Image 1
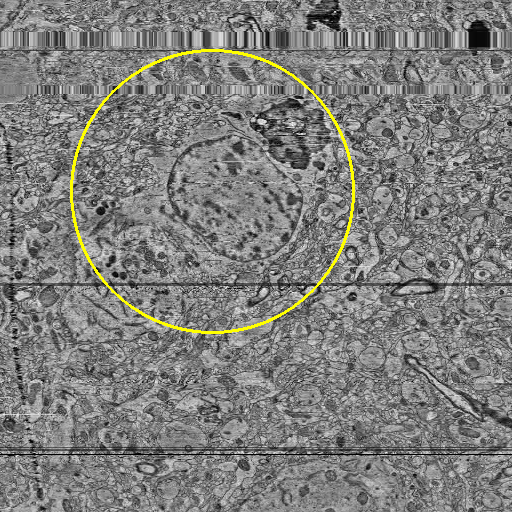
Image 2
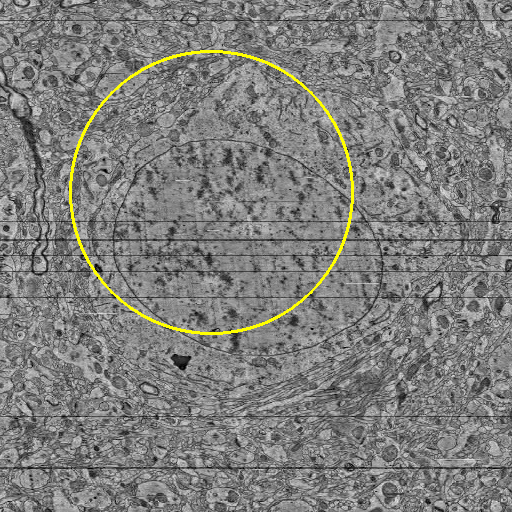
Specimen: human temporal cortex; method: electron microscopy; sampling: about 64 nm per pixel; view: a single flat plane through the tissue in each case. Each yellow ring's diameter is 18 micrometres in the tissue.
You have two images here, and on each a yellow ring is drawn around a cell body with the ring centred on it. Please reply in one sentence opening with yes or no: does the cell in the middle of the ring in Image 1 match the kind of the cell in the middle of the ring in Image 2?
No, the two images show cells of two kinds at the centres of their rings.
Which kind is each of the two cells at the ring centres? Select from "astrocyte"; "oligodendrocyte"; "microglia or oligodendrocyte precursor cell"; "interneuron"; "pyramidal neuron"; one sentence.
The cell at the centre of the ring is an astrocyte in the first picture and a pyramidal neuron in the second.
